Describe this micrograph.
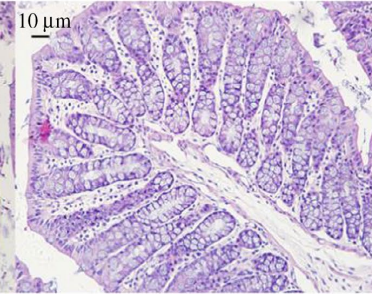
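This is colonic mucosa with closely packed, straight tubular crypts running perpendicular to the surface and lacking villi. The crypts are lined by columnar cells among which abundant goblet cells with pale, clear mucin-filled cytoplasm predominate, while narrow strands of connective tissue with small nuclei lie between the crypts above a pale submucosa.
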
